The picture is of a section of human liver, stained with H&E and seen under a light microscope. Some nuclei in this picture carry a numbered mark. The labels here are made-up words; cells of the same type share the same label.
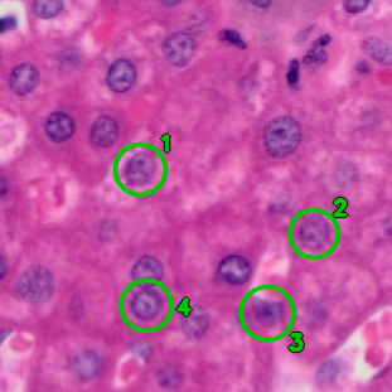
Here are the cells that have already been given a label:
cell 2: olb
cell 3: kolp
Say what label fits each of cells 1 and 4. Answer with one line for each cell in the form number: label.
1: olb
4: olb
